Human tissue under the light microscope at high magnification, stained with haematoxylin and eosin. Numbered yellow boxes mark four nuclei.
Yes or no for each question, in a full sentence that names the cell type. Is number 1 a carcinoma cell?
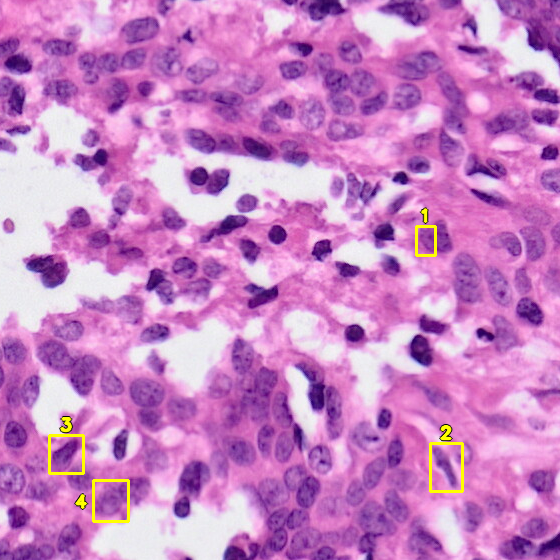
Yes, the cell to which number 1 refers is a carcinoma cell.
